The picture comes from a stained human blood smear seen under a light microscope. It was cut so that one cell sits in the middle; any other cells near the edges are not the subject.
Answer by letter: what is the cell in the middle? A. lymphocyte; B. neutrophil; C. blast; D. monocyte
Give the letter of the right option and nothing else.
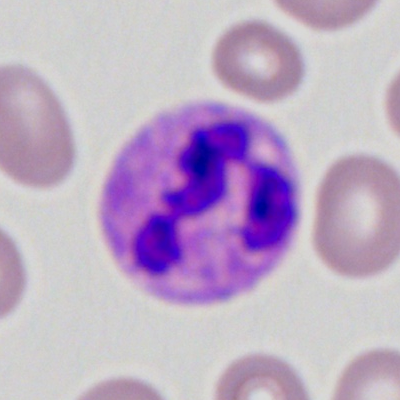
B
